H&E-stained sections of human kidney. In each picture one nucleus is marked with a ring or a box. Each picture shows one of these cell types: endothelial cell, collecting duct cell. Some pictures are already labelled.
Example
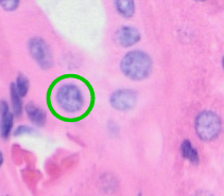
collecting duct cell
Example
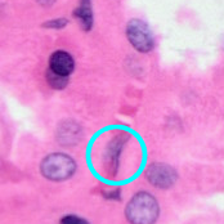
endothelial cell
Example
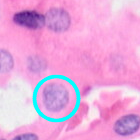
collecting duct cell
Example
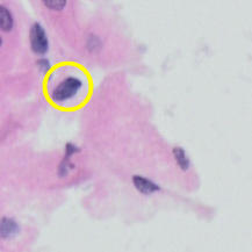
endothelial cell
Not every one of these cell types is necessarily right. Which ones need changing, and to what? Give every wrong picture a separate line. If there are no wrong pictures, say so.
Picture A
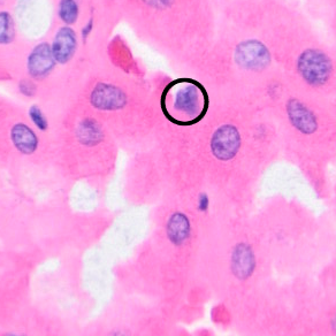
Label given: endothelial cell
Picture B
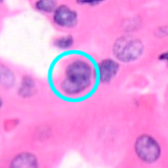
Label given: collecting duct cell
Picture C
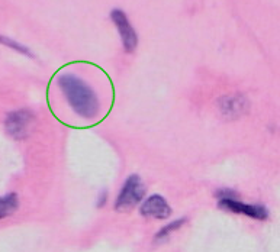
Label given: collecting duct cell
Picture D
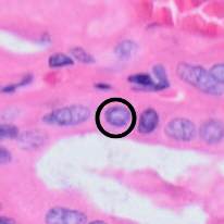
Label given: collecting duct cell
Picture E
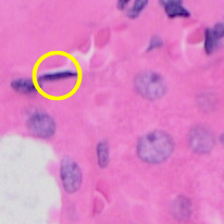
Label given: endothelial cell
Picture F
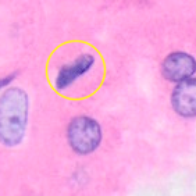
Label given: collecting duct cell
C: change collecting duct cell to endothelial cell
F: change collecting duct cell to endothelial cell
